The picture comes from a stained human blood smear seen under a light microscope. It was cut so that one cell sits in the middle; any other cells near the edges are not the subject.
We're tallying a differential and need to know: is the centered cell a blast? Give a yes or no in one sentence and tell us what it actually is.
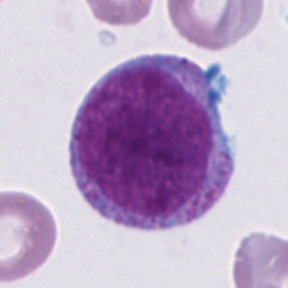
No, the central cell is classed as a promyelocyte, not a blast.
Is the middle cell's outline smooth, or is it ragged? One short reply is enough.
As for its outline, the cell is irregular, ragged or drawn into projections.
